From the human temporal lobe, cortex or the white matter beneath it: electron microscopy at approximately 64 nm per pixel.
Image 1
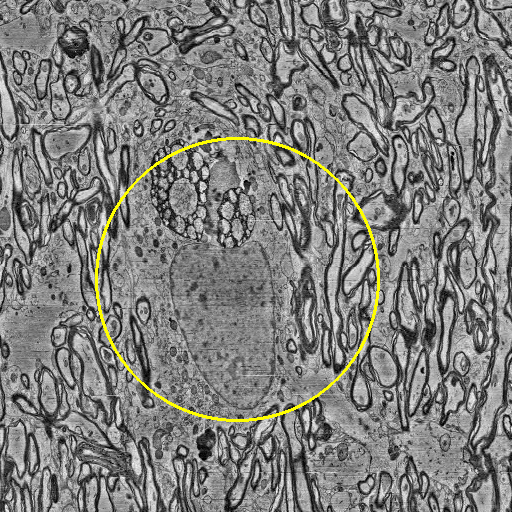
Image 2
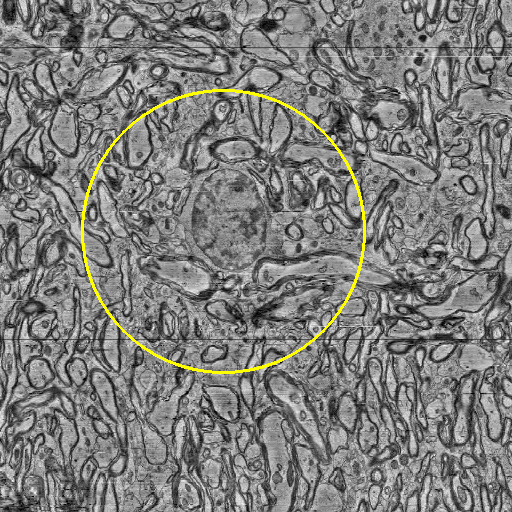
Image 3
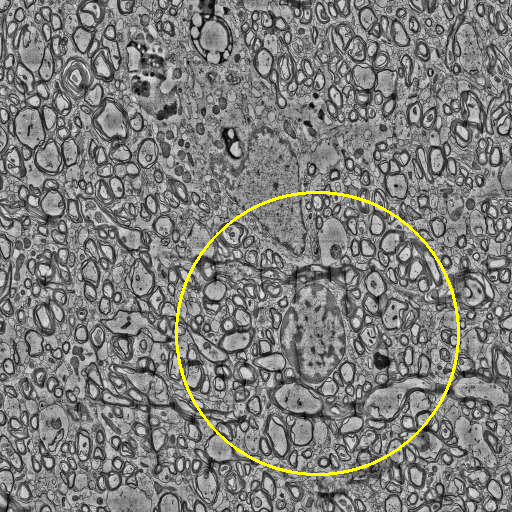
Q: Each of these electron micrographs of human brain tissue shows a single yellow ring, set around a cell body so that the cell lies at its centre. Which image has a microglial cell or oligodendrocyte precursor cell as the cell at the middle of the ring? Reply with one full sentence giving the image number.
In image 3, the cell lying at the ring's centre is the requested one.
